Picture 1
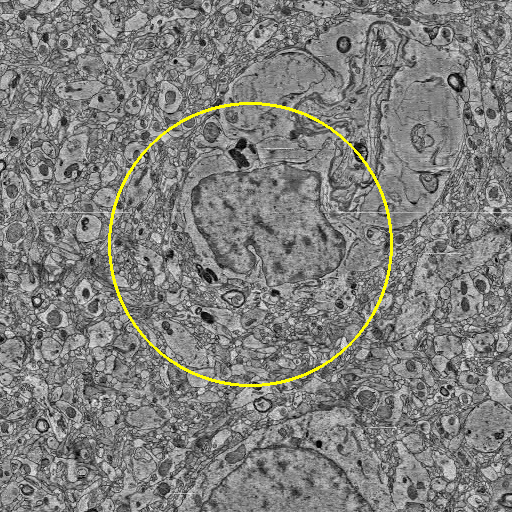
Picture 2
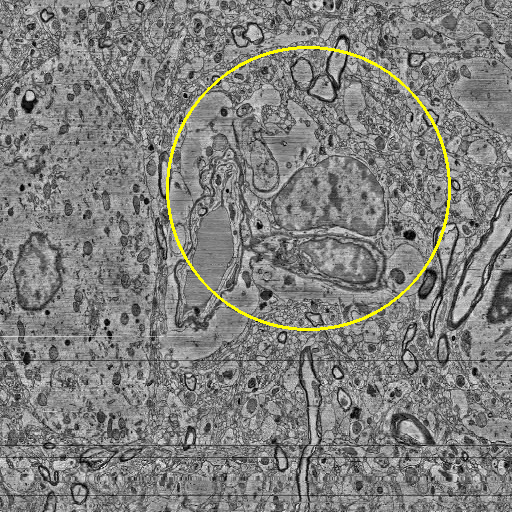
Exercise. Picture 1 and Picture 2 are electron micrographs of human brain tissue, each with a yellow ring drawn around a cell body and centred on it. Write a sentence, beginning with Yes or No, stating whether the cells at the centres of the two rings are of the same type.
Yes, the cells at the centres of both rings are of the same type.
